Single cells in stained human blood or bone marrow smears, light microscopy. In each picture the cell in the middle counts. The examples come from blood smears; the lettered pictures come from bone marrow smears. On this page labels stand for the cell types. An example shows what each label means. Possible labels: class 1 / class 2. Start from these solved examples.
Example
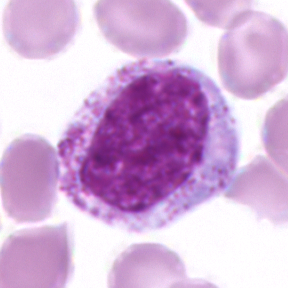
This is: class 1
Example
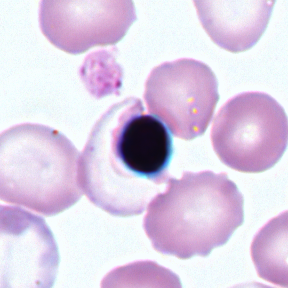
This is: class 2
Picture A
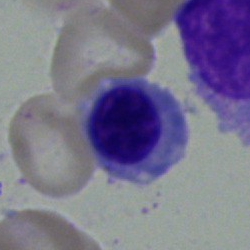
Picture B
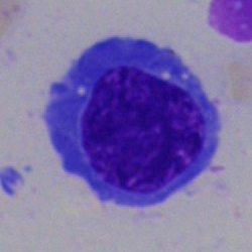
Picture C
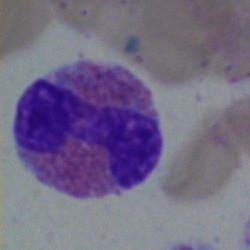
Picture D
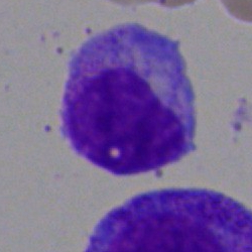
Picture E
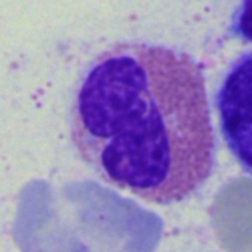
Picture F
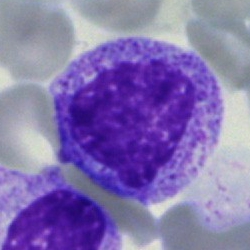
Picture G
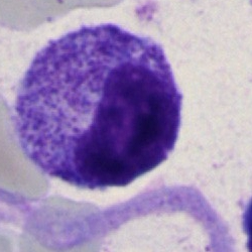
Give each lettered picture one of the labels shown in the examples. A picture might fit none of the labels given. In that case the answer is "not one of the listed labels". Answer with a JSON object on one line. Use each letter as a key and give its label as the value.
{"A": "class 2", "B": "class 2", "C": "not one of the listed labels", "D": "class 1", "E": "not one of the listed labels", "F": "class 1", "G": "class 1"}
